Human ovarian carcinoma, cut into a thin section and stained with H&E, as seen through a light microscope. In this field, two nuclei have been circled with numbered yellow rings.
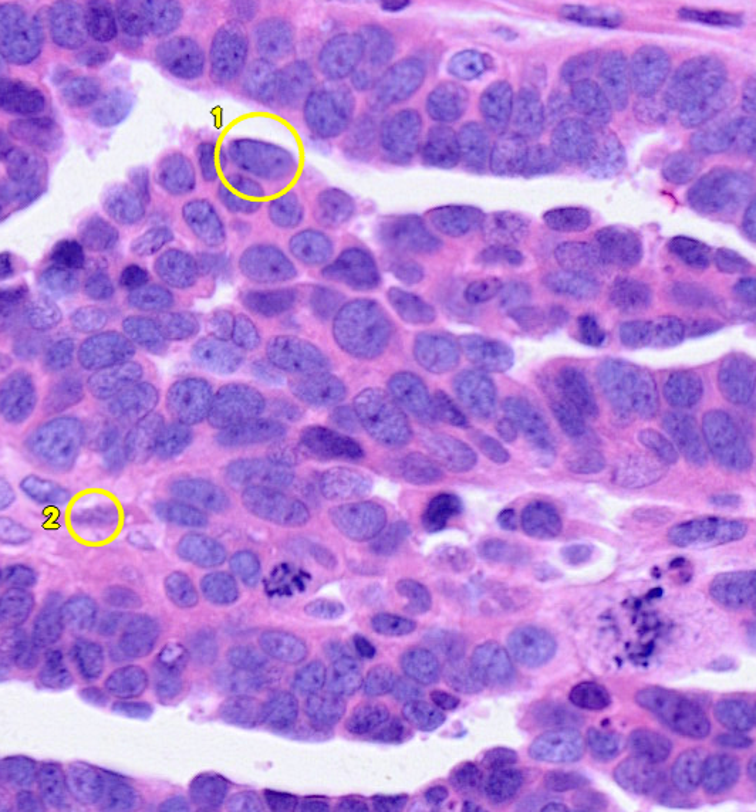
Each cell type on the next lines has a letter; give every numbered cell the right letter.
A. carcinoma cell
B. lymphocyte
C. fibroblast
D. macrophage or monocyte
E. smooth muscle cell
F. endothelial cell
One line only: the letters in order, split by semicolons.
A; C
